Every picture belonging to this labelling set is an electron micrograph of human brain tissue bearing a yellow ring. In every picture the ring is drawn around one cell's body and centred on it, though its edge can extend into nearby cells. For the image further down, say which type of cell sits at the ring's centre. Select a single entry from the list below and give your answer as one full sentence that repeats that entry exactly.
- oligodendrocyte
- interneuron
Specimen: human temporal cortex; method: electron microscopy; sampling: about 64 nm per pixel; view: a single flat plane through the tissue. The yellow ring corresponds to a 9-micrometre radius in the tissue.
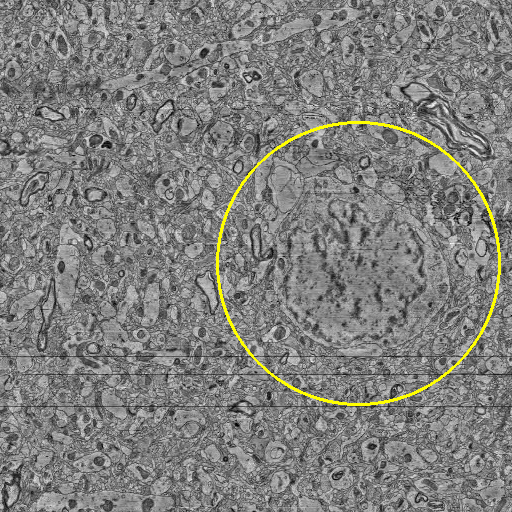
In the picture, an interneuron is the cell at the centre of the yellow ring.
